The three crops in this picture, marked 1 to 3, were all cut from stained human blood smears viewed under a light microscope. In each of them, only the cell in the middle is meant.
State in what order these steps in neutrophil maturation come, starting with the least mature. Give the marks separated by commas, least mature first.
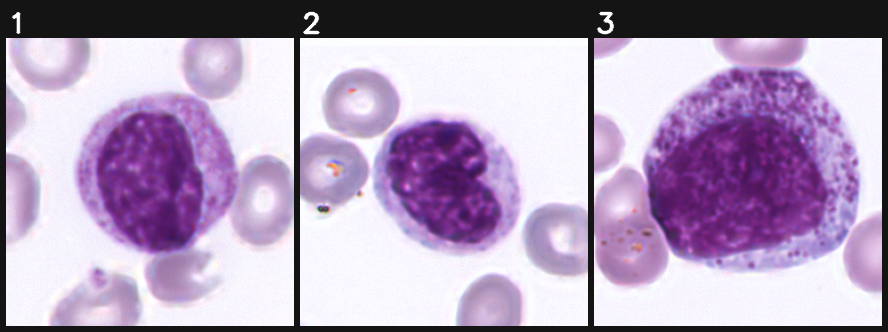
3, 1, 2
